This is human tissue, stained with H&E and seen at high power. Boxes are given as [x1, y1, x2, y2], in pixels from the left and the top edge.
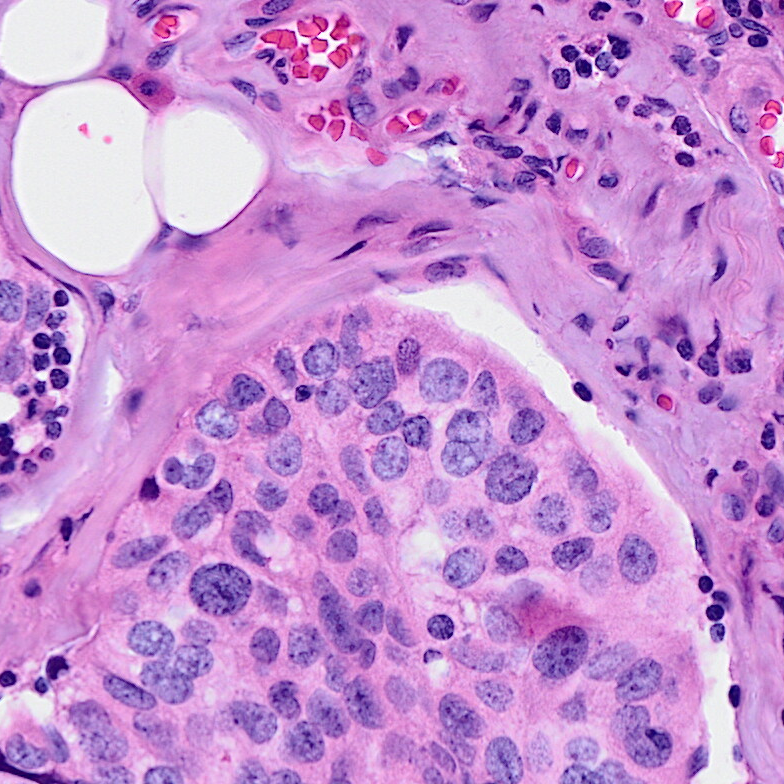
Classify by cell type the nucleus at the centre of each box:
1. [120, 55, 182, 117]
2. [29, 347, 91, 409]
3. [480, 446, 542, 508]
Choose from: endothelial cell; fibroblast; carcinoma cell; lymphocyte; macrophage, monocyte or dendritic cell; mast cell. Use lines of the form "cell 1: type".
cell 1: mast cell
cell 2: lymphocyte
cell 3: carcinoma cell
